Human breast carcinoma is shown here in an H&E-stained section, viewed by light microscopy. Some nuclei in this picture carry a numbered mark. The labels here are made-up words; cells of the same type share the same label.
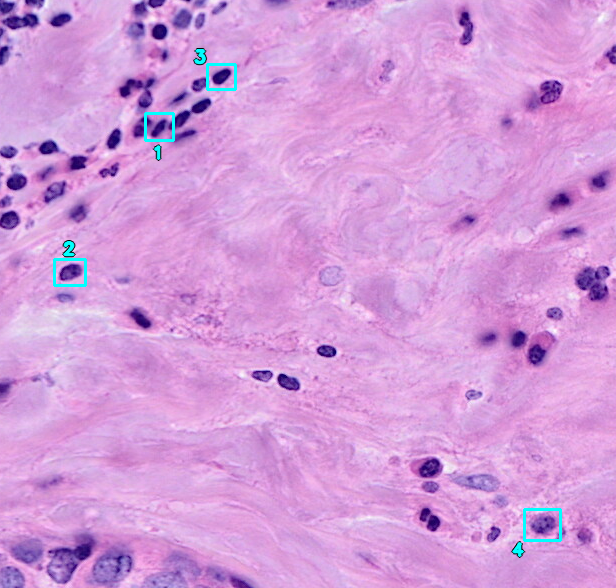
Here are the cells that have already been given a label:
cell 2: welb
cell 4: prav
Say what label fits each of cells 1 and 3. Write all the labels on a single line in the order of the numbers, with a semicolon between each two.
welb; welb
